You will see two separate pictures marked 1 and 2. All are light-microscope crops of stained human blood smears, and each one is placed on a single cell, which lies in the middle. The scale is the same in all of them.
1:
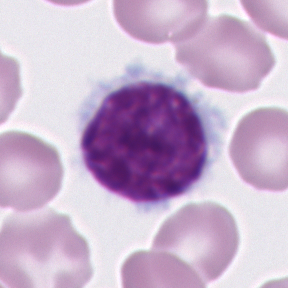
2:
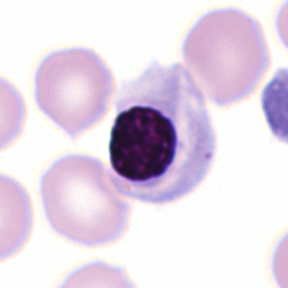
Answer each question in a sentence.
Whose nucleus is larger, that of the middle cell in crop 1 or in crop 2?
Larger is the nucleus in crop 1, at roughly 3 times the area of the other.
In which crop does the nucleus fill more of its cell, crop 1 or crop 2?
In crop 1 the nucleus takes up the larger part of its cell.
